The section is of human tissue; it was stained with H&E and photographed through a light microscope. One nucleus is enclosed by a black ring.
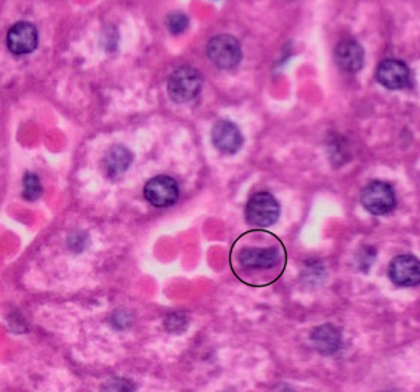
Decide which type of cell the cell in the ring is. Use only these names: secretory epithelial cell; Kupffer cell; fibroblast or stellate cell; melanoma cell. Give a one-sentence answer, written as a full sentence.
The expected answer is simply that the cell in the ring is a fibroblast or stellate cell.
